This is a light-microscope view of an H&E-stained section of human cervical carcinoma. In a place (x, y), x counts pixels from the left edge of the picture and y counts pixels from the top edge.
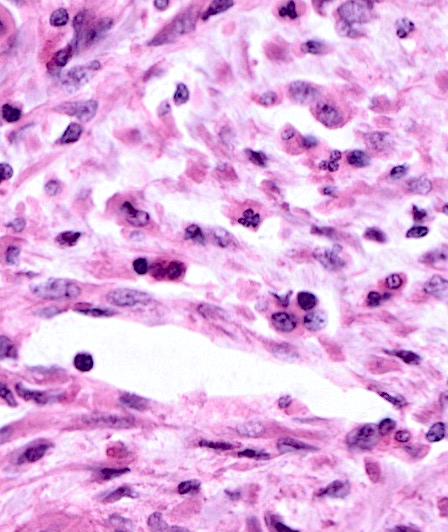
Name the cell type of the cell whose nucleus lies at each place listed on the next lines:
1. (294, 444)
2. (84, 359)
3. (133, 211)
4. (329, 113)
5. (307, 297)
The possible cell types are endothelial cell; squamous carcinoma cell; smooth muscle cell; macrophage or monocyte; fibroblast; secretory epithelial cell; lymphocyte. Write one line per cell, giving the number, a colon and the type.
1: fibroblast
2: lymphocyte
3: macrophage or monocyte
4: macrophage or monocyte
5: lymphocyte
